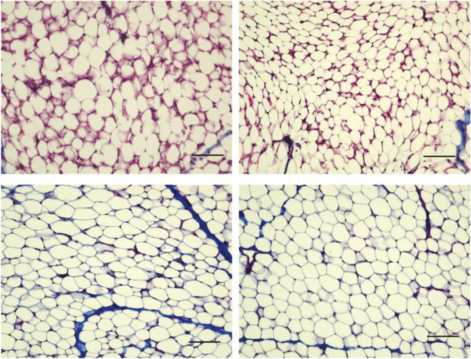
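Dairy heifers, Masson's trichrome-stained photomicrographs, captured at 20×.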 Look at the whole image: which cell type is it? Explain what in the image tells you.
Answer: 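Closely packed polygonal cells with empty-looking pale interiors. Each cell is bounded by a thin stained rim. Thin blue septa run between groups of these cells. That points to this answer: adipocyte.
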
